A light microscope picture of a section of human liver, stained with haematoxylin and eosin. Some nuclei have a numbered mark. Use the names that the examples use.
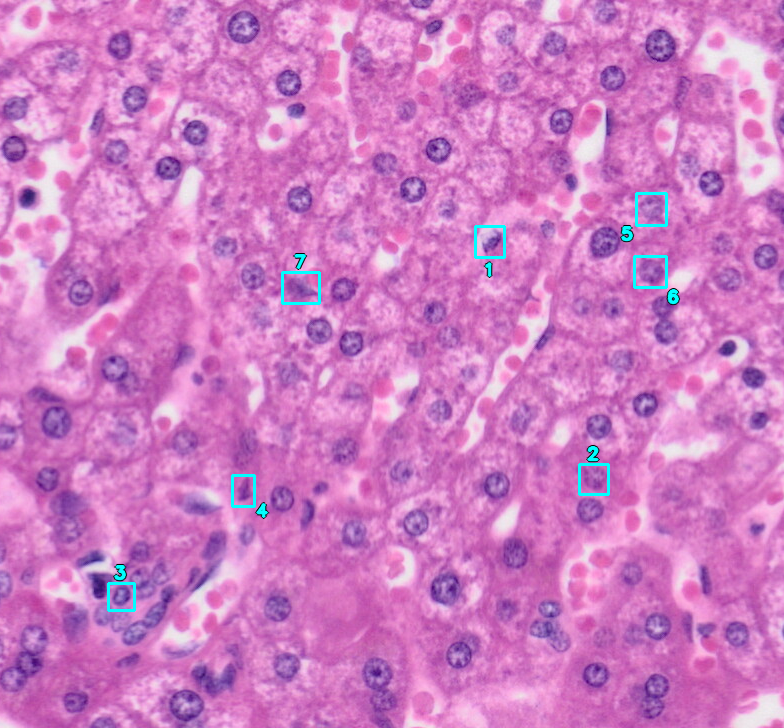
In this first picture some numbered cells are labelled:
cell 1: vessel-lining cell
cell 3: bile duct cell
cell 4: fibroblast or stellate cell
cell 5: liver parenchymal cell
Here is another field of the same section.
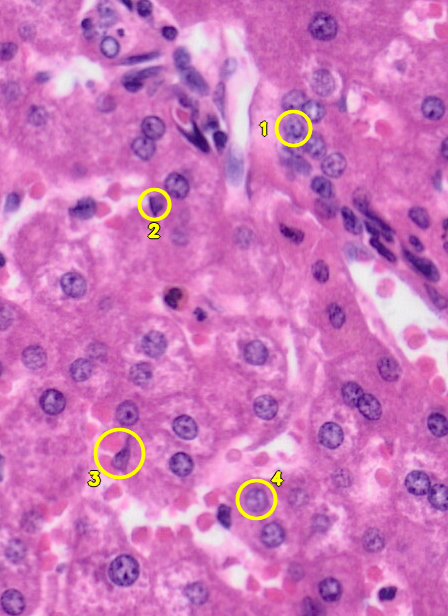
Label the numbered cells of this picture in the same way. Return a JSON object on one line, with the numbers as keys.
{"1": "bile duct cell", "2": "fibroblast or stellate cell", "3": "vessel-lining cell", "4": "liver parenchymal cell"}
